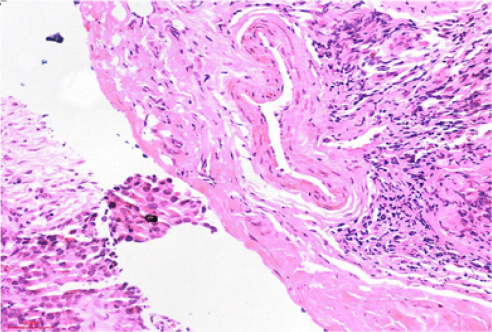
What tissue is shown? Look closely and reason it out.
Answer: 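Broad bands of pink, wavy fibres run across much of the field. The fibrous bands hold sparse, elongated nuclei. That points to this answer: Dense fibrous connective tissue.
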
